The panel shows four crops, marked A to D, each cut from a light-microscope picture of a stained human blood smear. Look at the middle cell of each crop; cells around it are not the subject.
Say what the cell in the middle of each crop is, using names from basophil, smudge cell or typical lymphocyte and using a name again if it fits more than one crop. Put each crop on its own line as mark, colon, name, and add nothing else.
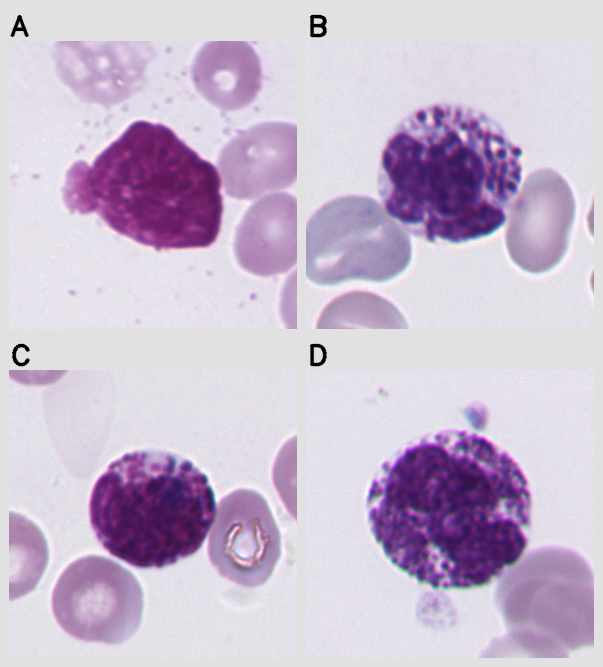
A: smudge cell
B: basophil
C: basophil
D: basophil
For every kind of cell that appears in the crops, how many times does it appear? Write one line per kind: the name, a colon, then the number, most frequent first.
basophil: 3
smudge cell: 1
